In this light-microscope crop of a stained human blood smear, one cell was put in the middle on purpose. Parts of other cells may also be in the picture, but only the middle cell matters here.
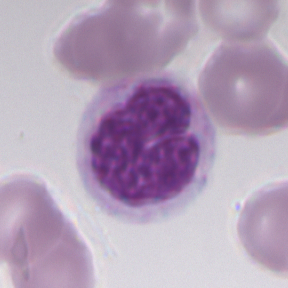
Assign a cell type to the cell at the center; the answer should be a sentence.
The cell positioned in the middle of the field is a band neutrophil.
